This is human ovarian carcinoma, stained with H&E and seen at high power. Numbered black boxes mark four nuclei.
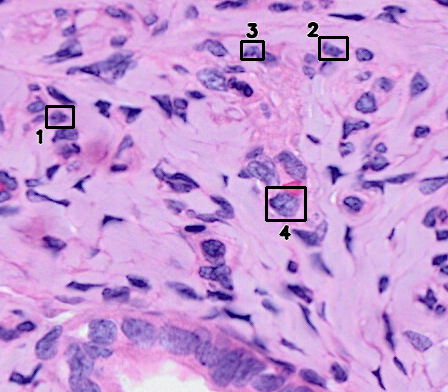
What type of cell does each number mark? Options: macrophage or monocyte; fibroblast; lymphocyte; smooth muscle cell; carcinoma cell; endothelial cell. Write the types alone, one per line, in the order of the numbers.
smooth muscle cell
smooth muscle cell
smooth muscle cell
endothelial cell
